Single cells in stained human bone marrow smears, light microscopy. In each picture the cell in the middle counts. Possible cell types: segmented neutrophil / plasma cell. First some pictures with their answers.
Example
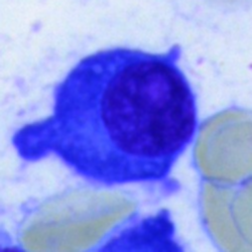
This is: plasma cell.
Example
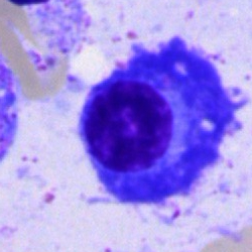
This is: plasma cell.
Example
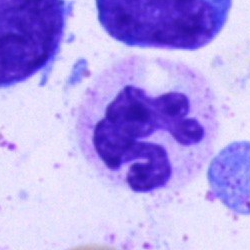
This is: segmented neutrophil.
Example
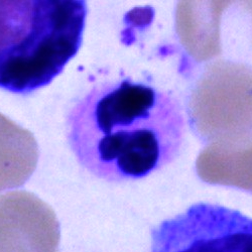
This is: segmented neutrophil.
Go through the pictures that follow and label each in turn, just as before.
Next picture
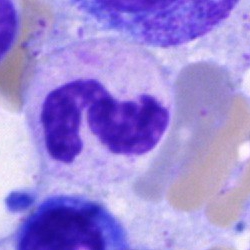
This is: segmented neutrophil.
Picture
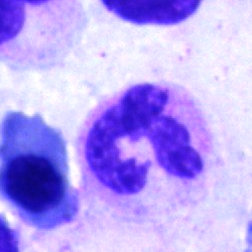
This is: segmented neutrophil.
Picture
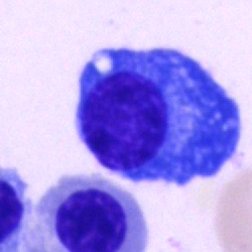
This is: plasma cell.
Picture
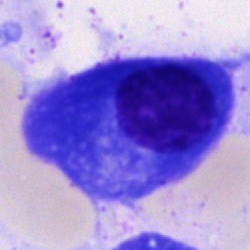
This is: plasma cell.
